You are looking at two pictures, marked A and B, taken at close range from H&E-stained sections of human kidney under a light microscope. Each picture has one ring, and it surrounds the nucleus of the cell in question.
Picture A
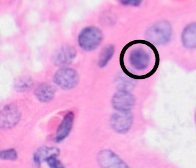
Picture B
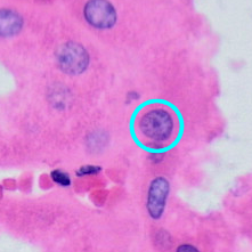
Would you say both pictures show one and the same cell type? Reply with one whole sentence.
No, picture A shows a collecting duct cell and picture B shows a proximal tubule cell.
